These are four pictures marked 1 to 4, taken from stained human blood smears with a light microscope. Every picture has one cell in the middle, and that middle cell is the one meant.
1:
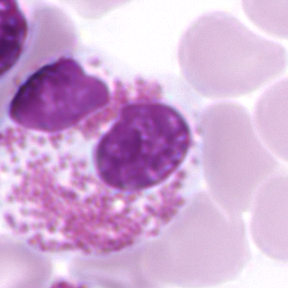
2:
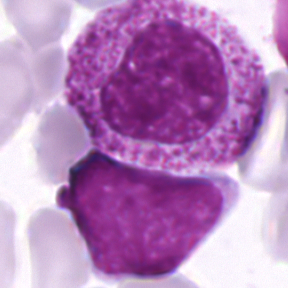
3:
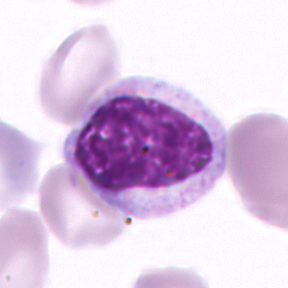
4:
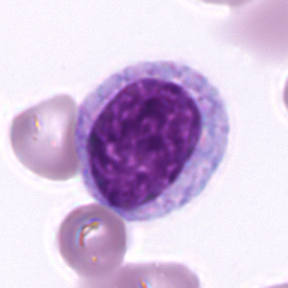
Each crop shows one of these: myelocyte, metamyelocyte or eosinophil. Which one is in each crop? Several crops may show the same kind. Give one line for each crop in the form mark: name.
1: eosinophil
2: myelocyte
3: metamyelocyte
4: myelocyte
